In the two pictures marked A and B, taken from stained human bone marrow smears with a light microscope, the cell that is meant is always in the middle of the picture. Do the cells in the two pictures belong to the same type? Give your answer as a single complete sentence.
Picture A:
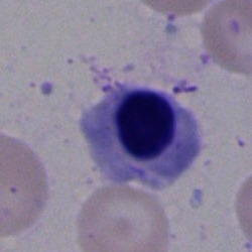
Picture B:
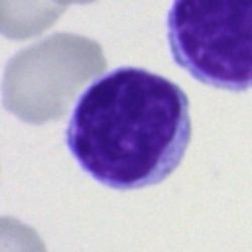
No, picture A shows an erythroblast and picture B shows a lymphocyte.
